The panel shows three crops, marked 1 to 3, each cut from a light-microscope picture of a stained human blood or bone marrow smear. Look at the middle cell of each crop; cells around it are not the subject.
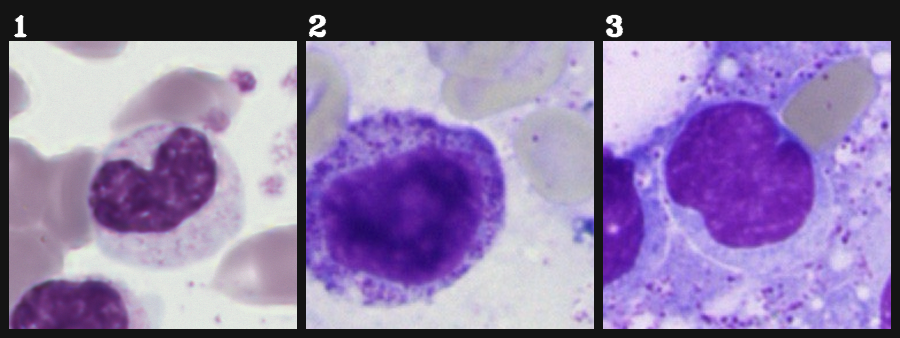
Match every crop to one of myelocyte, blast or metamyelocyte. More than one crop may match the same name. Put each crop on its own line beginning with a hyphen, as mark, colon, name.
- 1: metamyelocyte
- 2: myelocyte
- 3: blast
